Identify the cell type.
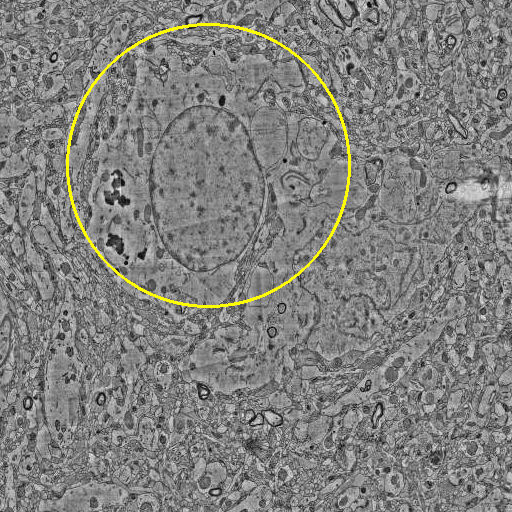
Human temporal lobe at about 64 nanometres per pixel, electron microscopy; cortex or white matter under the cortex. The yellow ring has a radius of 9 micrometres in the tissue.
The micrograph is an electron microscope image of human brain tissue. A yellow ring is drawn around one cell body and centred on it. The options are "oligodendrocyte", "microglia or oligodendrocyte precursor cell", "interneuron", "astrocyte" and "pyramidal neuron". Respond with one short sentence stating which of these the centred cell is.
The cell body in the ring belongs to an astrocyte.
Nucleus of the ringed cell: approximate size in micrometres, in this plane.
In this plane, the nucleus of the cell at the centre of the ring measures about 11 by 7 micrometres.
